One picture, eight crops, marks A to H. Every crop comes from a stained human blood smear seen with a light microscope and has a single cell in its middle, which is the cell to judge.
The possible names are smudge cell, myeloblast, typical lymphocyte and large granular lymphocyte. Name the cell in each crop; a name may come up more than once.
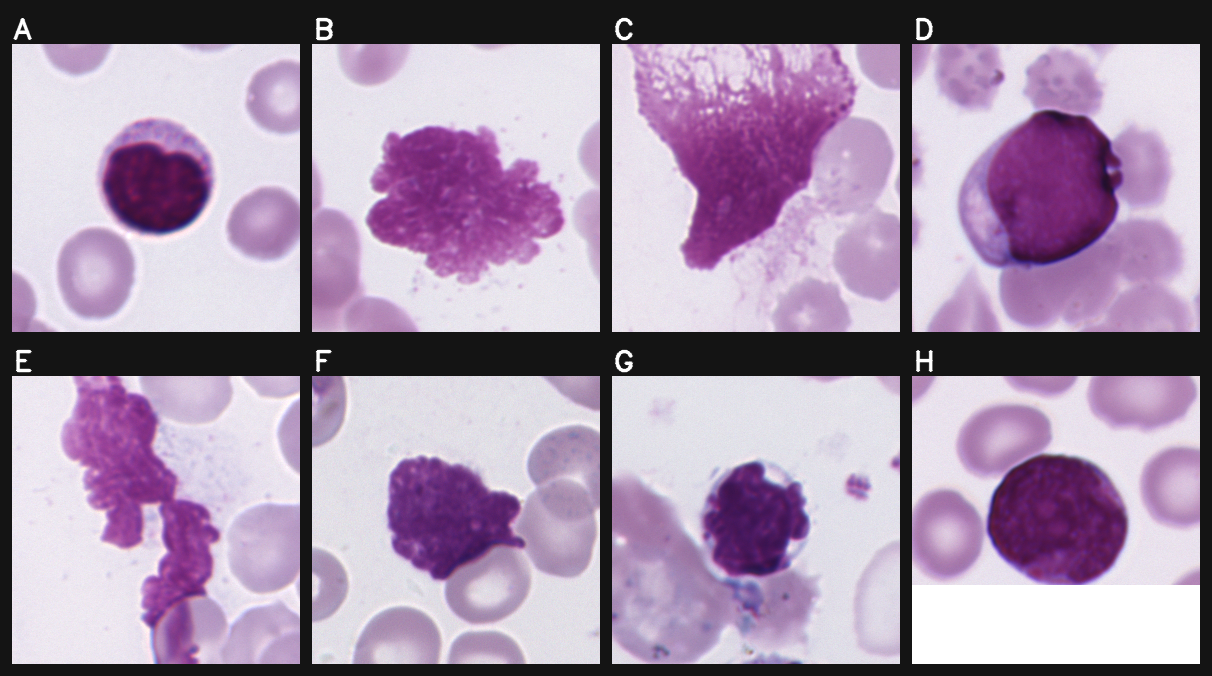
A: large granular lymphocyte
B: smudge cell
C: smudge cell
D: myeloblast
E: smudge cell
F: smudge cell
G: typical lymphocyte
H: myeloblast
